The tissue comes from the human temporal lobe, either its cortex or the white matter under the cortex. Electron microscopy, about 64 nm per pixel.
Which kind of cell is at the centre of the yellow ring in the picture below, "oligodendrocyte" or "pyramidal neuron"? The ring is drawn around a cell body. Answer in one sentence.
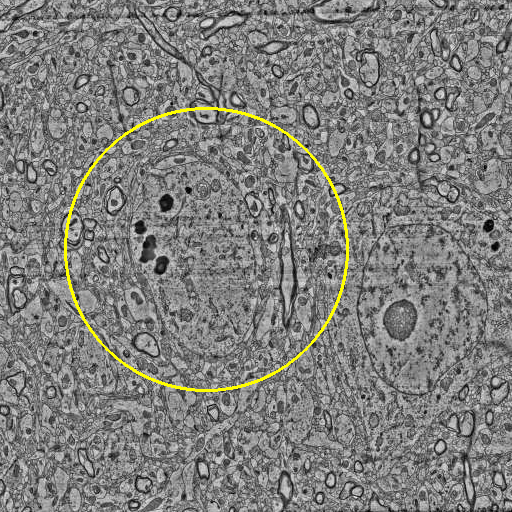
The ring's central cell is a pyramidal neuron.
